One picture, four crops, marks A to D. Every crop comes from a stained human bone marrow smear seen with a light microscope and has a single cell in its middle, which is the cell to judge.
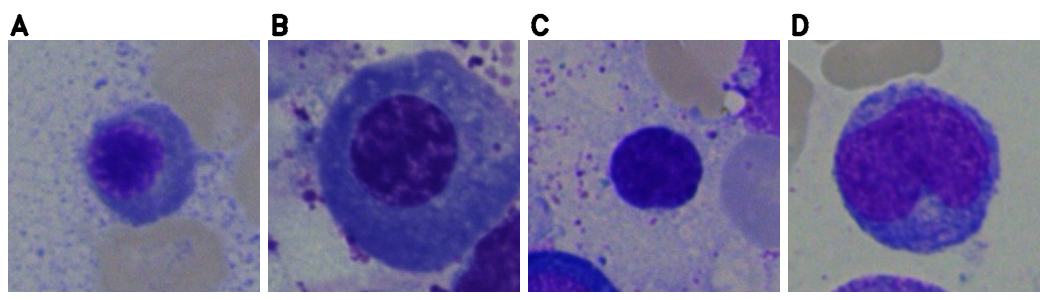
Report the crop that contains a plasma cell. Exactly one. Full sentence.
The sole crop showing a plasma cell is crop B.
